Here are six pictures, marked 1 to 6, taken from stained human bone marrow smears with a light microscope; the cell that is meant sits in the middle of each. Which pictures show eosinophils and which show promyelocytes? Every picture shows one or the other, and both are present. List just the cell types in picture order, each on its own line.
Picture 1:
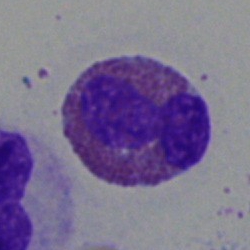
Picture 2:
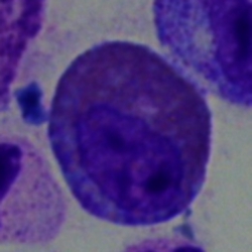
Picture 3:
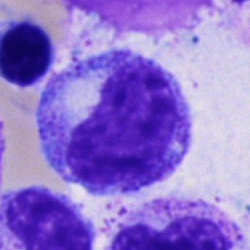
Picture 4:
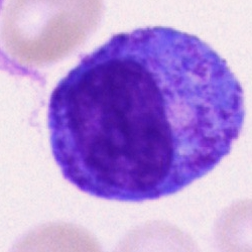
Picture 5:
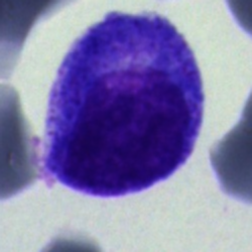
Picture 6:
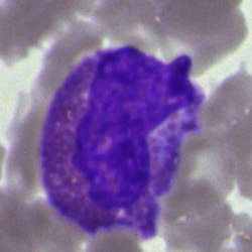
eosinophil
eosinophil
promyelocyte
promyelocyte
promyelocyte
eosinophil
